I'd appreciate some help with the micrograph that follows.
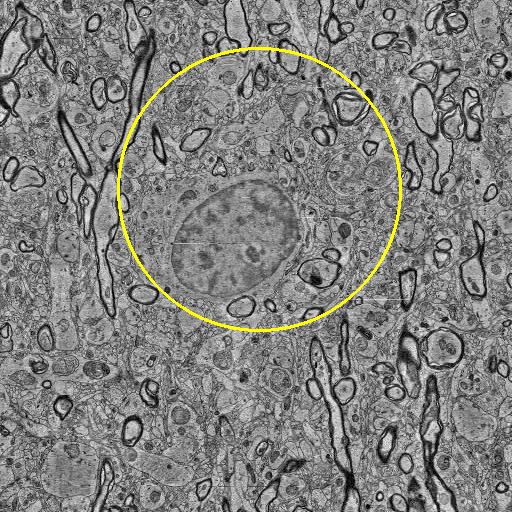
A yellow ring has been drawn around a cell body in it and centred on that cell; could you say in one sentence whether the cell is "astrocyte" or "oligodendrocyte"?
It is an oligodendrocyte at the centre of the ring.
